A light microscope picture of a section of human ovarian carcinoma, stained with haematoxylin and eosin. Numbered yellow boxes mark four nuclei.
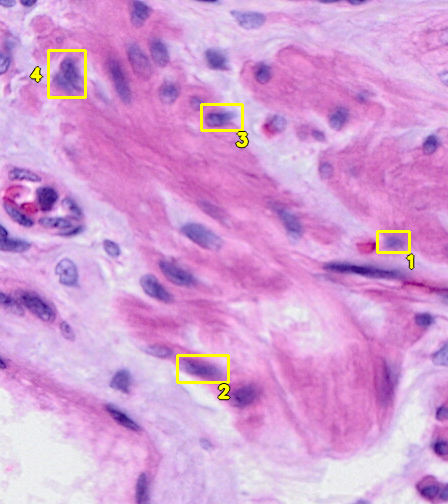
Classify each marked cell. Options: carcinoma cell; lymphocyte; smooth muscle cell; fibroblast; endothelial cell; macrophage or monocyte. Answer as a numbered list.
1. endothelial cell
2. smooth muscle cell
3. smooth muscle cell
4. smooth muscle cell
